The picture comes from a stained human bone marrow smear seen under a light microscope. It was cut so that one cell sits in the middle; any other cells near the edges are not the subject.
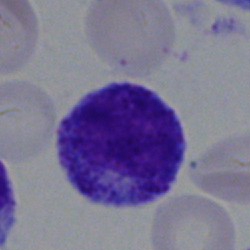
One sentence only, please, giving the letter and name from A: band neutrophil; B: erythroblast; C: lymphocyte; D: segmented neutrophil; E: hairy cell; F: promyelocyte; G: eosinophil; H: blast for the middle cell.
The central cell in this crop is a promyelocyte, corresponding to option F, the correct option.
